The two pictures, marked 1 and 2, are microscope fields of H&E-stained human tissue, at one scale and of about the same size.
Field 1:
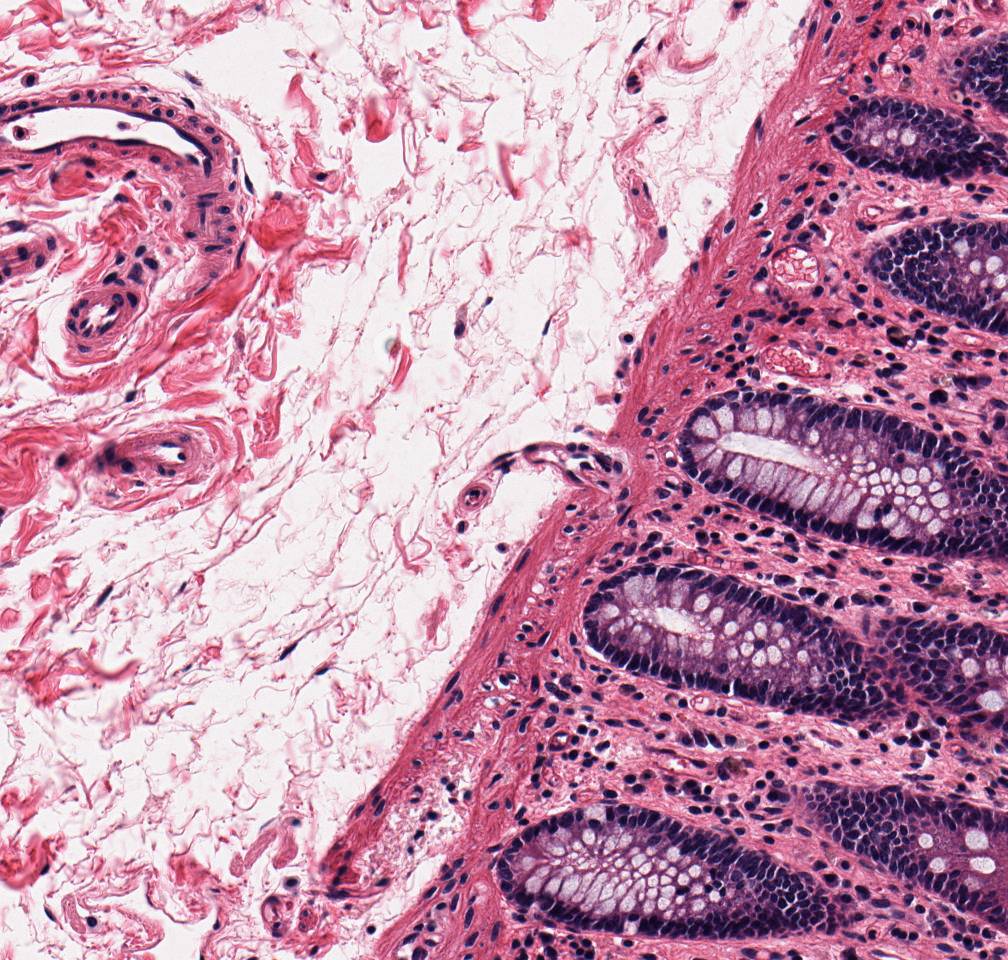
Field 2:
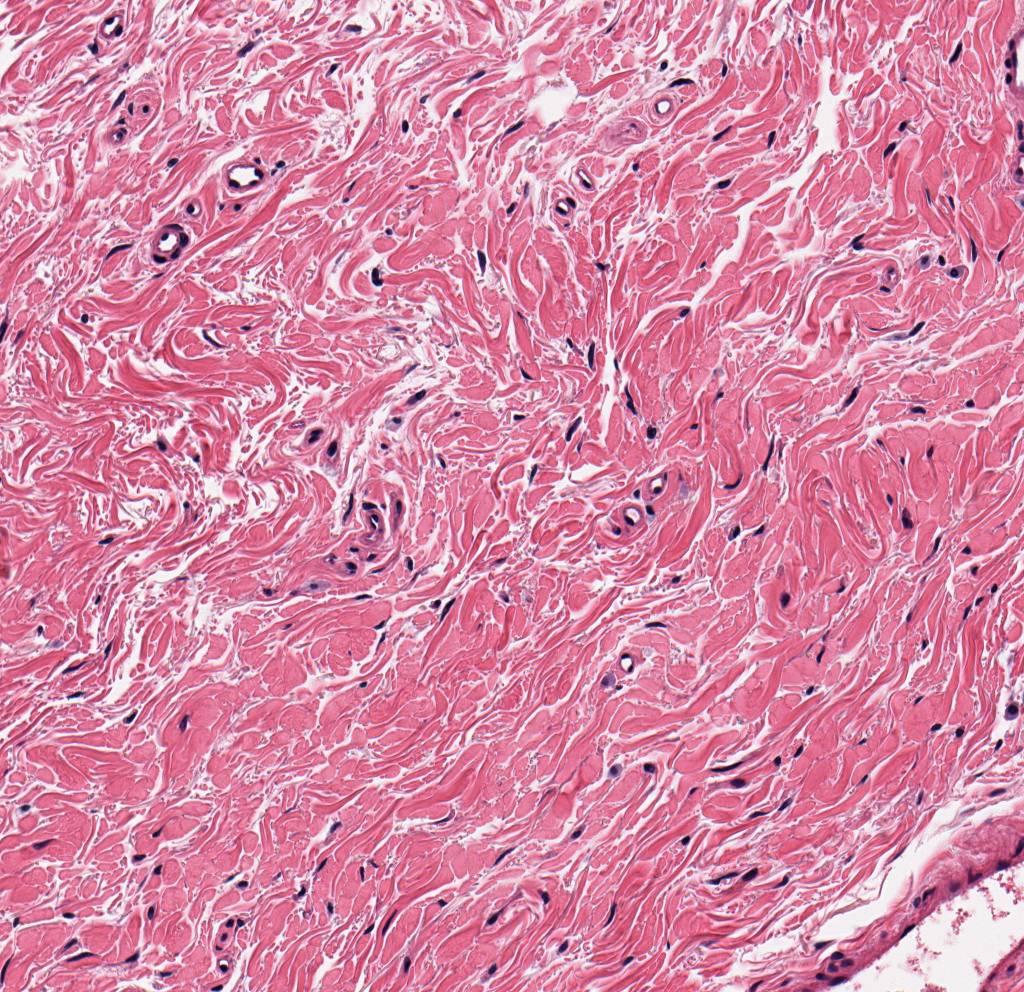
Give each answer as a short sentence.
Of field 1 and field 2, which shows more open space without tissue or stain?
More of field 1 is empty and white.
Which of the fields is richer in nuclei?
It is field 1 that has more nuclei in it.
